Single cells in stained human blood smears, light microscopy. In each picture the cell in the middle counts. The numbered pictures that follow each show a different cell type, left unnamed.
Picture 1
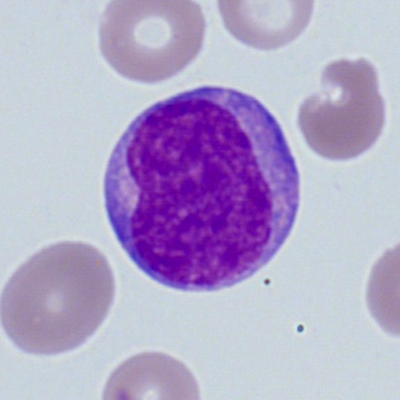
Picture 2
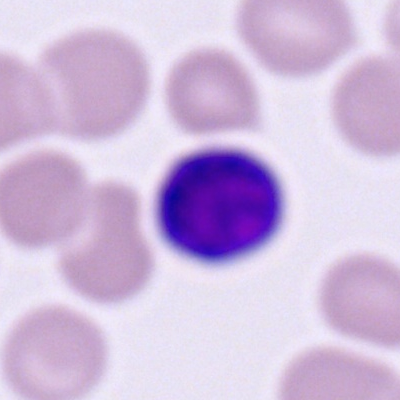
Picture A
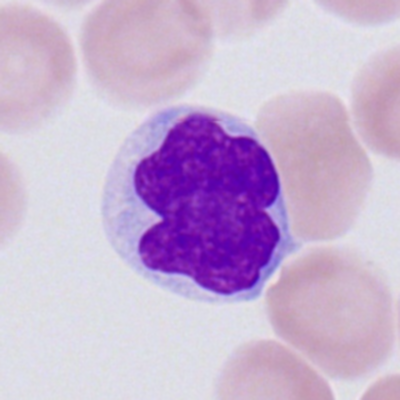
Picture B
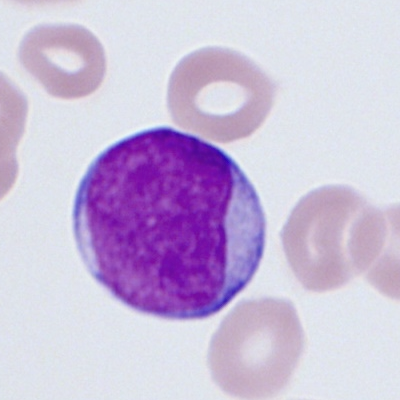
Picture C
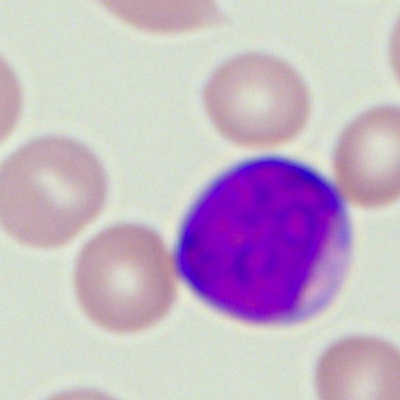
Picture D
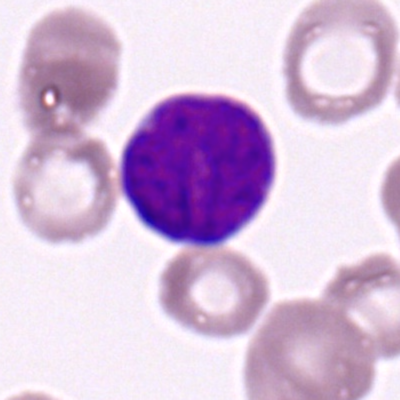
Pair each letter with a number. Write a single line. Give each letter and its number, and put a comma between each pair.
A 2, B 1, C 1, D 1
